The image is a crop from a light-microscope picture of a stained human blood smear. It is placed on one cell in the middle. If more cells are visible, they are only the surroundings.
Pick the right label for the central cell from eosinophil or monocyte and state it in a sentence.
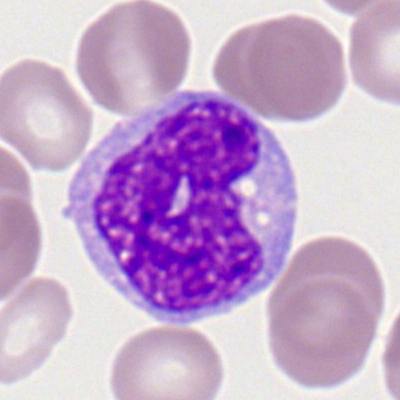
The cell positioned in the middle of the field is a monocyte.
